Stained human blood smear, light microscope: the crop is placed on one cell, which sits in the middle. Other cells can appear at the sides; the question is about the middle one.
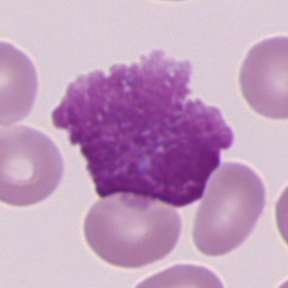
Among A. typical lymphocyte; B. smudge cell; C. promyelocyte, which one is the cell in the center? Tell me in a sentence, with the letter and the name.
The correct choice is option B, which identifies the middle cell as a smudge cell.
